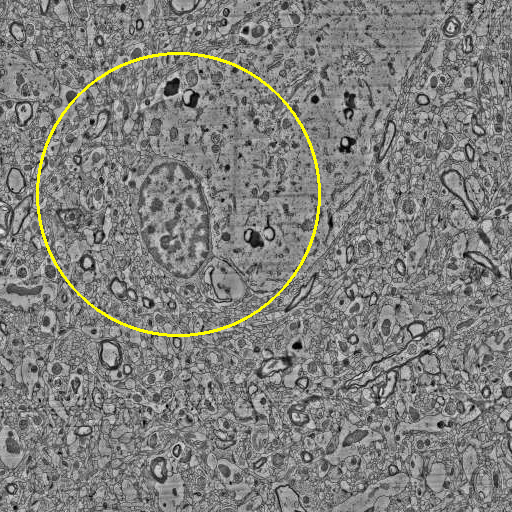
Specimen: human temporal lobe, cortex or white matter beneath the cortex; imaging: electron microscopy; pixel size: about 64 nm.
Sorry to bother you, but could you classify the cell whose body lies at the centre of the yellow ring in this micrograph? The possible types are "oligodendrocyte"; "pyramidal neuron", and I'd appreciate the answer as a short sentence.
The ringed cell body is that of an oligodendrocyte.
